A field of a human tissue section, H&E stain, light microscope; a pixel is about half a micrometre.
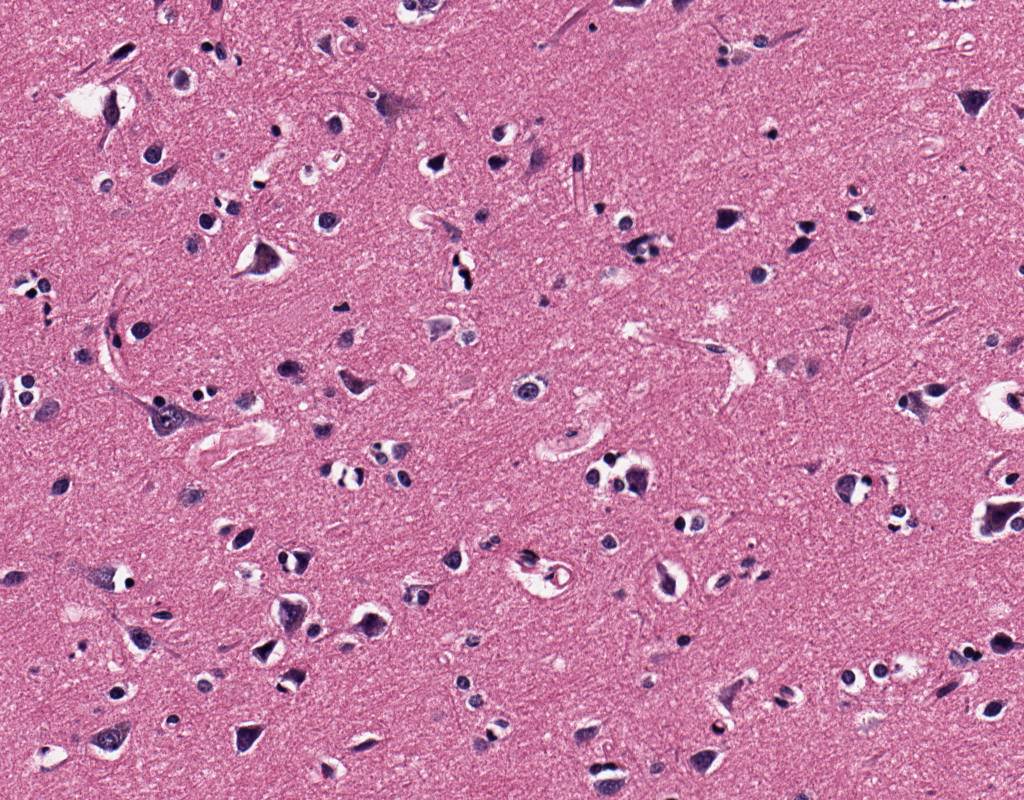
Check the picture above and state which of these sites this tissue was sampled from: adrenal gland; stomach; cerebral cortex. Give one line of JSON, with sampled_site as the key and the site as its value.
{"sampled_site": "cerebral cortex"}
